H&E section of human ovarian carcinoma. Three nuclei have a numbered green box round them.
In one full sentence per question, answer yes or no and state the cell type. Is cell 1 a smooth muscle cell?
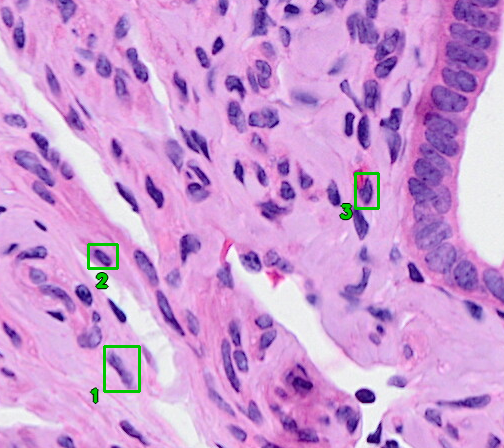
No, the cell given number 1 is a fibroblast, as opposed to a smooth muscle cell.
